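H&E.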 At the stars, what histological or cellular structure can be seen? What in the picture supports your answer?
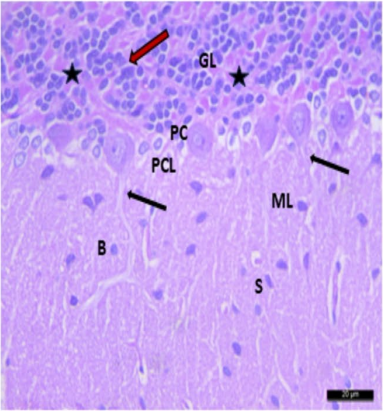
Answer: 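The stars mark pale pink gaps within the crowded layer of small dark round nuclei. That points to this answer: cerebellar islands.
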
